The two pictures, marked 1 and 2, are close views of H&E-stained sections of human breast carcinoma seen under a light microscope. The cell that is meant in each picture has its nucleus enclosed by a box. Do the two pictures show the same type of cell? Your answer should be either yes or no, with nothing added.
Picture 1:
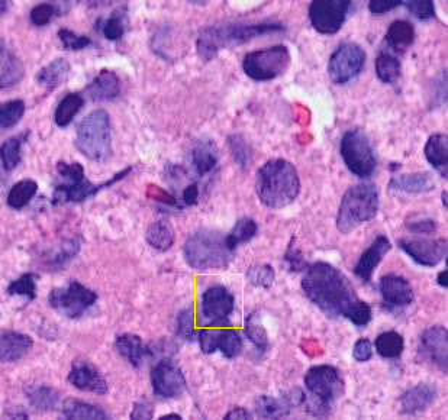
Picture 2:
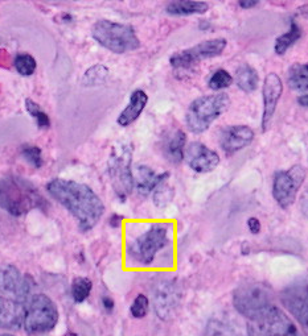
no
